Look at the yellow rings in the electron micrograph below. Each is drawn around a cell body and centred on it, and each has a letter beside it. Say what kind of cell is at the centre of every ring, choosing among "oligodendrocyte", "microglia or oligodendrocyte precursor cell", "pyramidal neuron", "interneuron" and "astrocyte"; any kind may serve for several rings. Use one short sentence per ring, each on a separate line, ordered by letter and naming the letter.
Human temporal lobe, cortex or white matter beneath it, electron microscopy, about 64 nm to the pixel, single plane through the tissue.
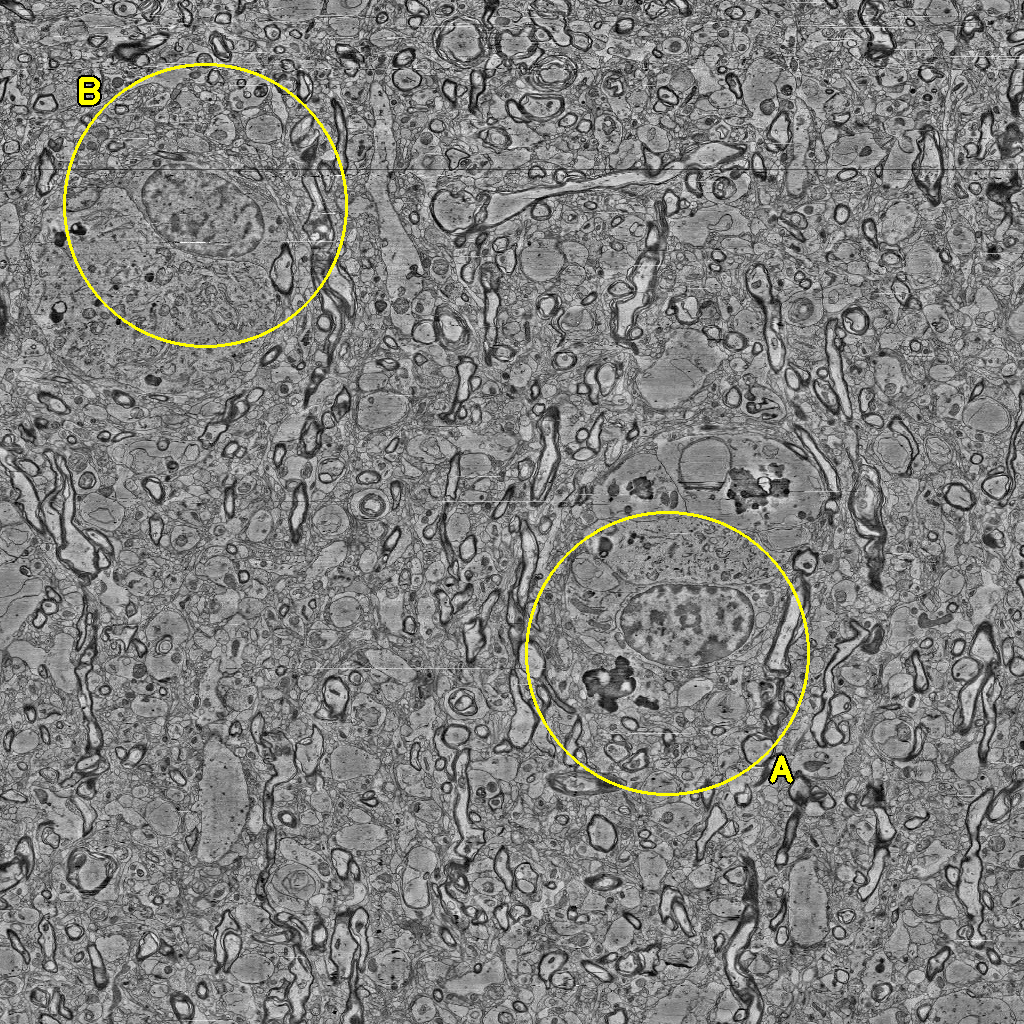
Ring A encircles a microglial cell or oligodendrocyte precursor cell.
Ring B encircles an oligodendrocyte.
